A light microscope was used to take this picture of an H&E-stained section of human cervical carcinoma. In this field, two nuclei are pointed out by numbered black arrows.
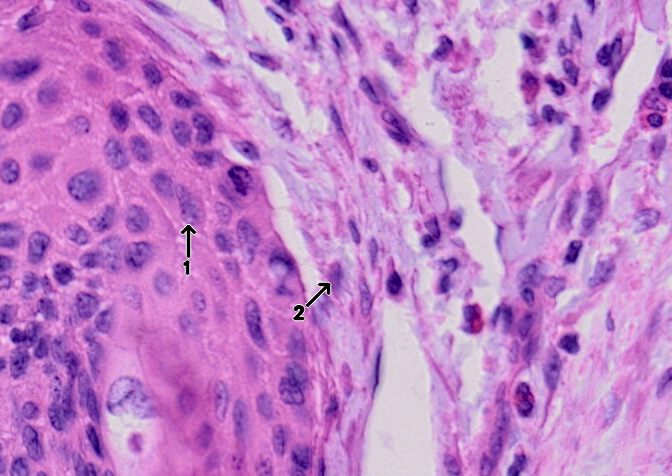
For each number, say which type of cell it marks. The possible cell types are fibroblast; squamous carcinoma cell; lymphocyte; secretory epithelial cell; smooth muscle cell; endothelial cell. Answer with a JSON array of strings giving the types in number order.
["squamous carcinoma cell", "fibroblast"]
